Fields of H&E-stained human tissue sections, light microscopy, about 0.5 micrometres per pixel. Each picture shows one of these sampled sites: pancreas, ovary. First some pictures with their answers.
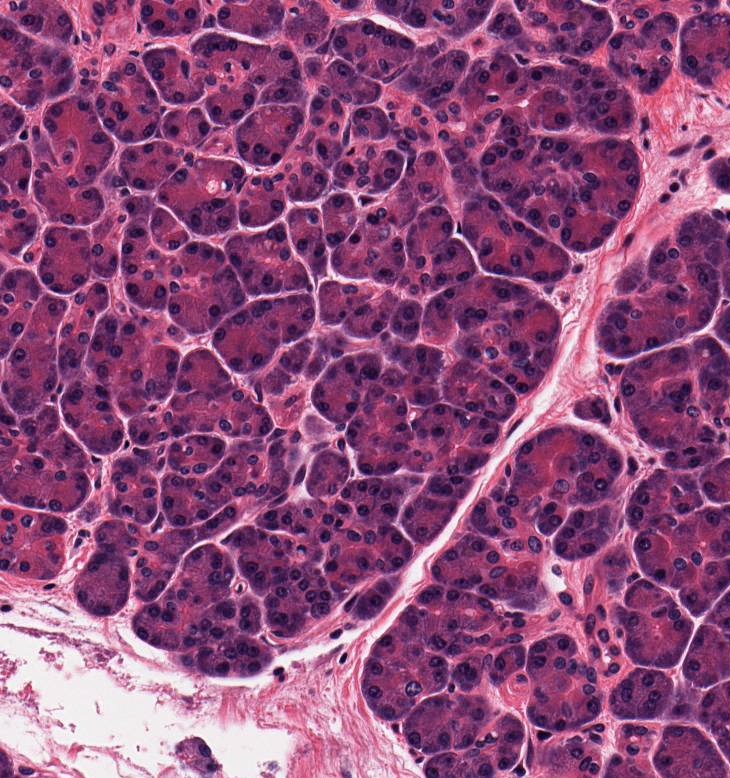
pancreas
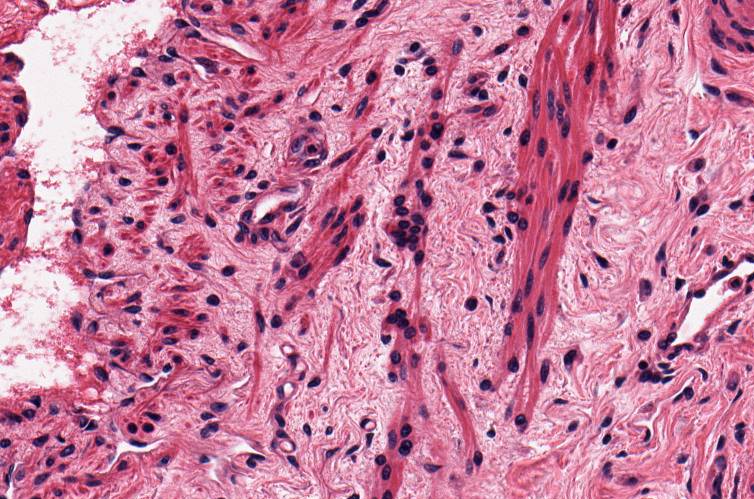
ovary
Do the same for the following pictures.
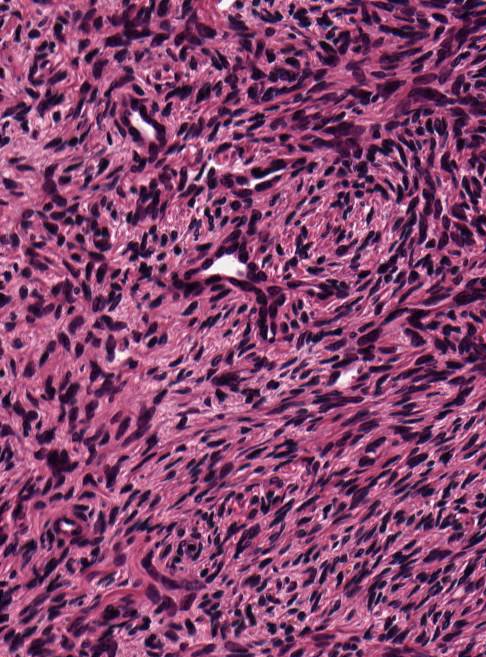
ovary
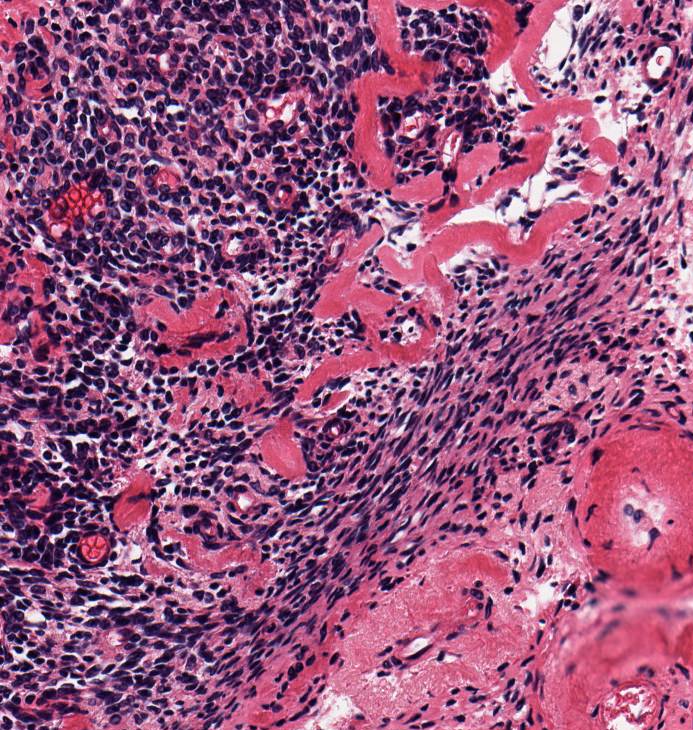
ovary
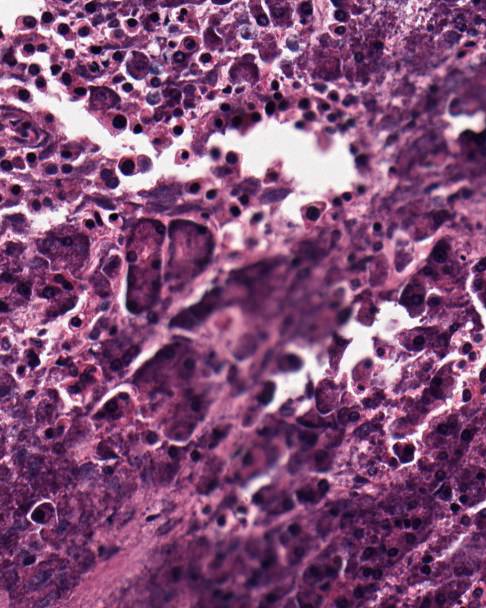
pancreas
